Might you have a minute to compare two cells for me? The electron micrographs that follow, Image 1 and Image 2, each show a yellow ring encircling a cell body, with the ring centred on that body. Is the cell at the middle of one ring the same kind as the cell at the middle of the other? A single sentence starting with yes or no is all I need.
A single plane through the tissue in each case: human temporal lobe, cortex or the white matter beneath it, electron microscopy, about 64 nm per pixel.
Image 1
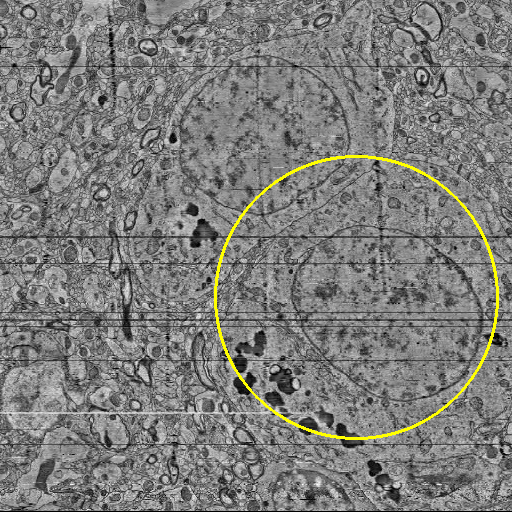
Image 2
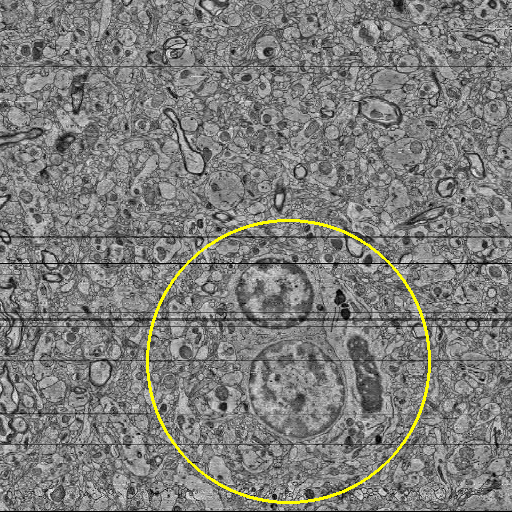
No, the cells in the middle of the two rings are of two separate kinds.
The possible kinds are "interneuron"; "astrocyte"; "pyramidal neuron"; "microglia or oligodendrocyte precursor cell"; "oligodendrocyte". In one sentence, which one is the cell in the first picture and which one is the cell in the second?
The cell ringed in the second picture is an oligodendrocyte, whereas the one ringed in the first is a pyramidal neuron.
